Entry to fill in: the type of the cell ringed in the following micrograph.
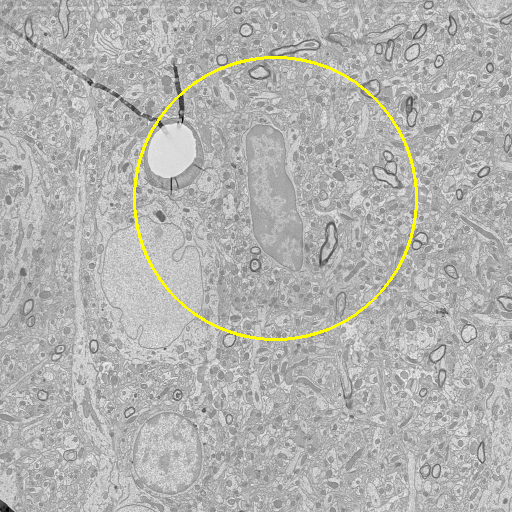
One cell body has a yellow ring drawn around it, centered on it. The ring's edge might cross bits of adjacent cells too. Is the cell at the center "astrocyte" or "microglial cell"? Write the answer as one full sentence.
This entry names a microglial cell as the cell whose body lies at the ring's center.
